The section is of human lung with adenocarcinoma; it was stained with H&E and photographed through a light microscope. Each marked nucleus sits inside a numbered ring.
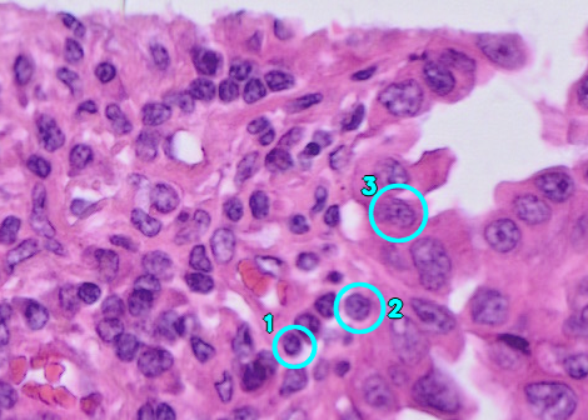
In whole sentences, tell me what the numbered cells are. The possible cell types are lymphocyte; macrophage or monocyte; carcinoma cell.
Cells 1 and 2 are lymphocytes. Cell 3 is a carcinoma cell.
